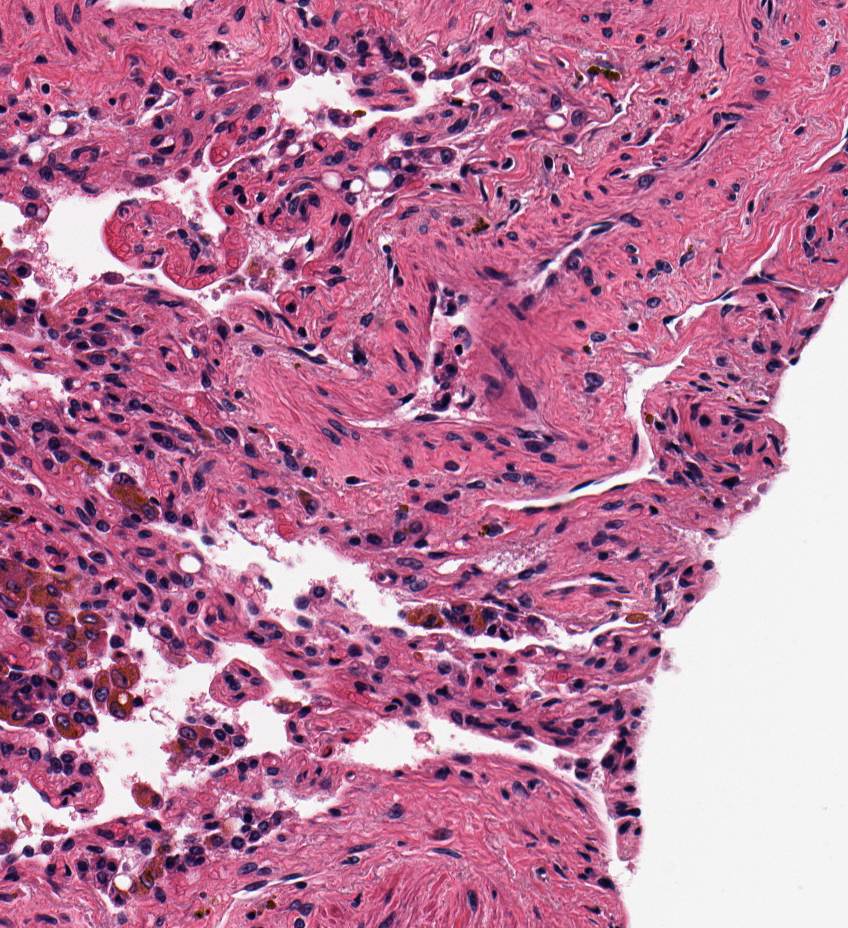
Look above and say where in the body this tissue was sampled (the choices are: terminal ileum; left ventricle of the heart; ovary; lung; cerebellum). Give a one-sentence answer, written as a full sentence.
Tissue sampled from the lung forms this section.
